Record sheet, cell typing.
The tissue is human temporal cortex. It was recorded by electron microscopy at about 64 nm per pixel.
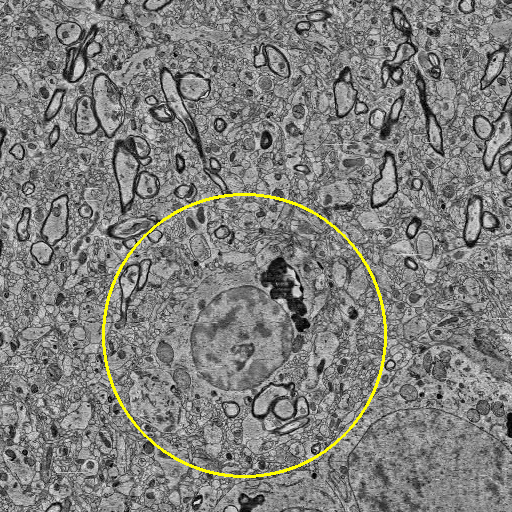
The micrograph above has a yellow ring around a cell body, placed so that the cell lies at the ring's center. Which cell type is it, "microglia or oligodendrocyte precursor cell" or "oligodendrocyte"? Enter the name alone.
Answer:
oligodendrocyte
